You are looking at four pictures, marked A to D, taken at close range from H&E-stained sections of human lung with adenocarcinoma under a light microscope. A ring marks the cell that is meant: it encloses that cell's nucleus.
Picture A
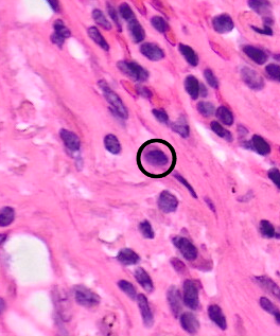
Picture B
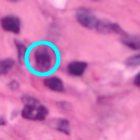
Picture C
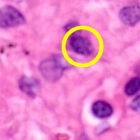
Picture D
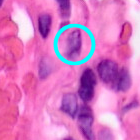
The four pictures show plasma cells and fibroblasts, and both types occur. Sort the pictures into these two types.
A: plasma cell
B: plasma cell
C: plasma cell
D: fibroblast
